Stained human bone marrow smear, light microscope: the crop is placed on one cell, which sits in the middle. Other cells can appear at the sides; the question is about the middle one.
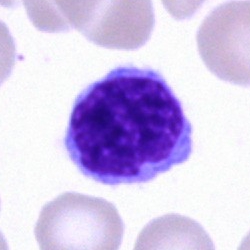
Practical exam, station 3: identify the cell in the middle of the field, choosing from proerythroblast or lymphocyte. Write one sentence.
The cell at the middle of the crop is recognized as a lymphocyte.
